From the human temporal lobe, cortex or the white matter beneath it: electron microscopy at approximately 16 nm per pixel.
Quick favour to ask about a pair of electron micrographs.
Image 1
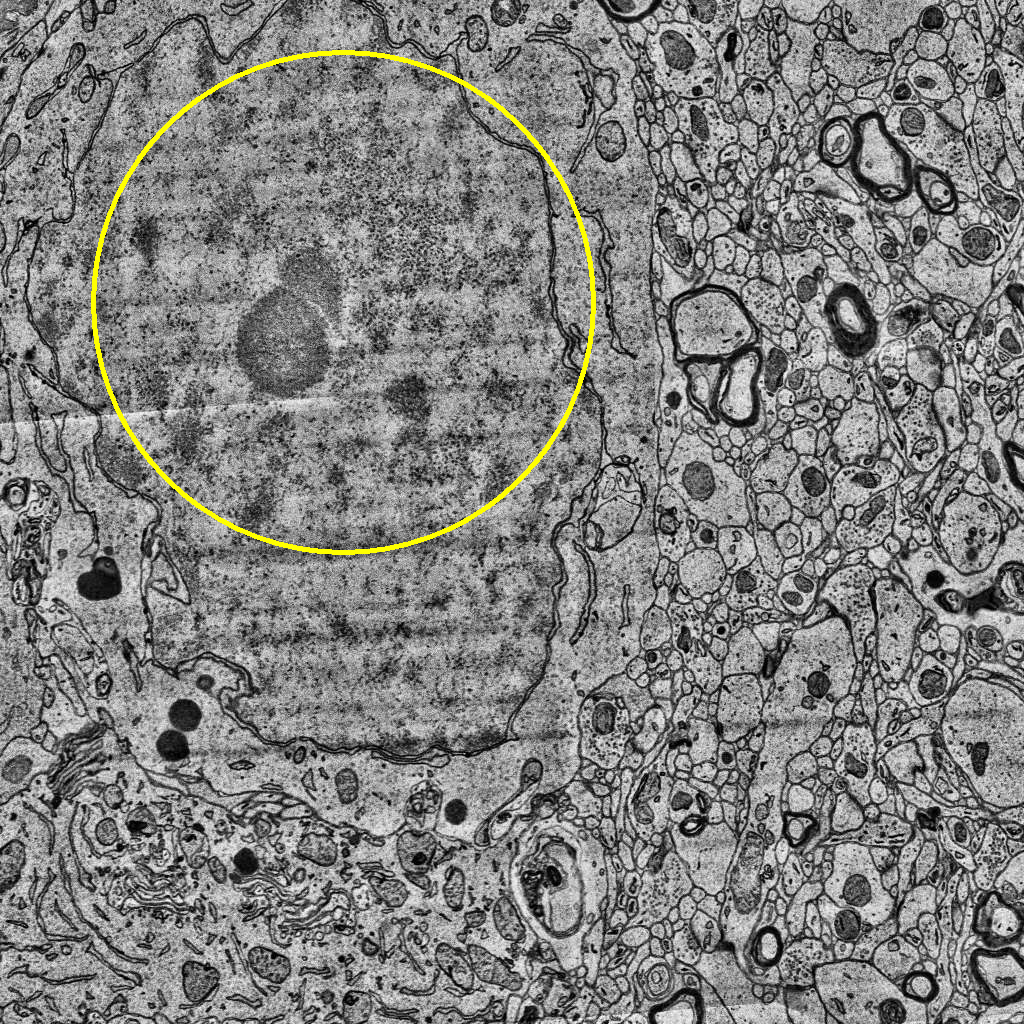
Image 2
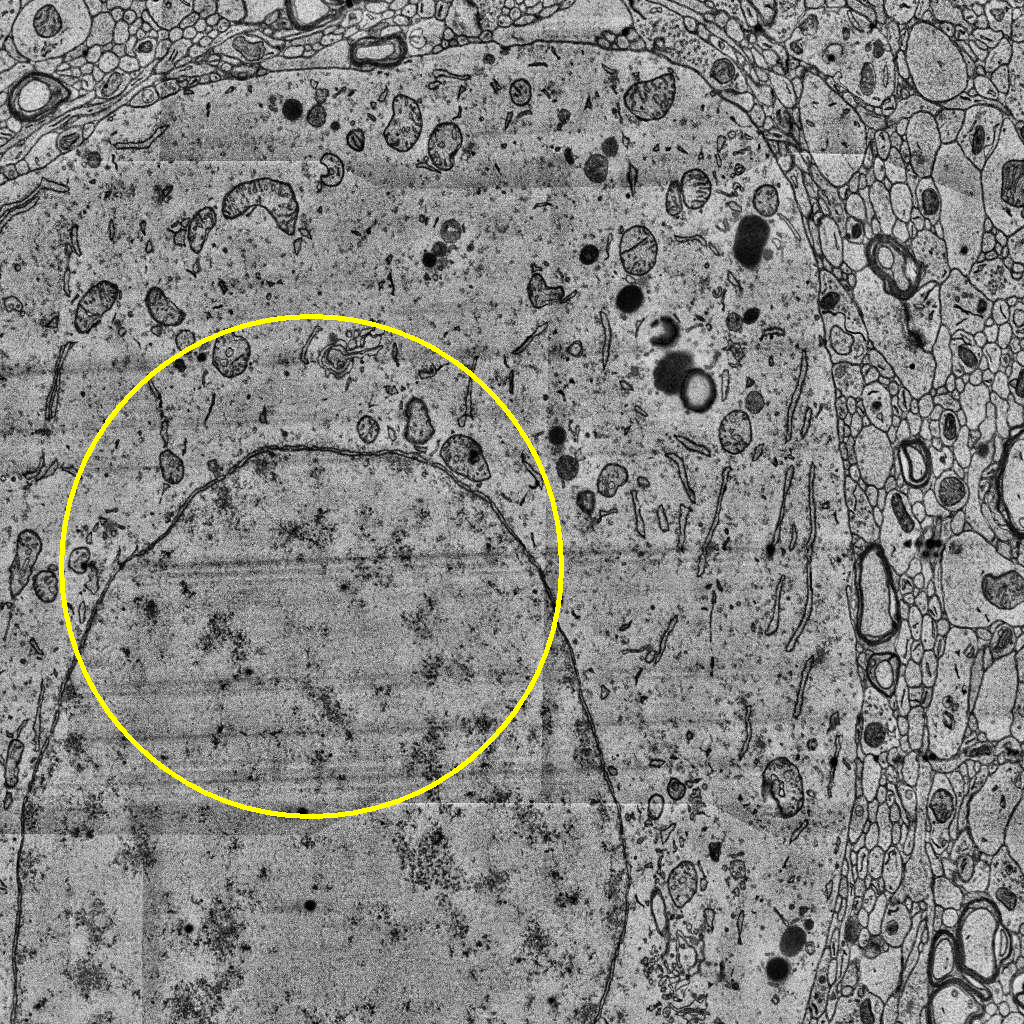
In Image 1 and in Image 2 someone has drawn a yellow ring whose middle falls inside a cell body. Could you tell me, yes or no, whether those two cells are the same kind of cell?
no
